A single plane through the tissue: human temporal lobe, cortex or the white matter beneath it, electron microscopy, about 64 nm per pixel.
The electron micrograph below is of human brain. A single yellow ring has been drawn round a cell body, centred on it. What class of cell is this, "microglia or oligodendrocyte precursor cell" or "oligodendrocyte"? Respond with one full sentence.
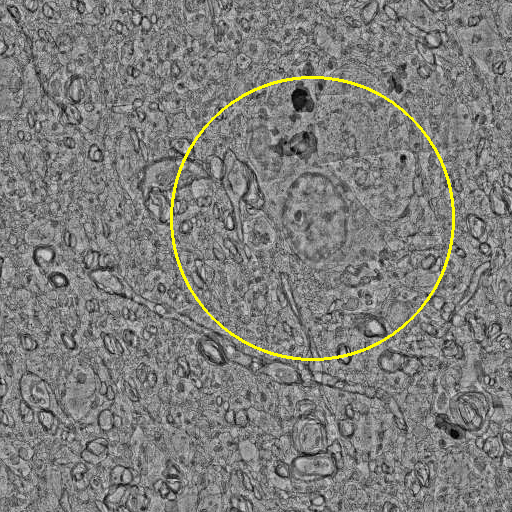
In the micrograph, the cell centred inside the yellow ring is an oligodendrocyte.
